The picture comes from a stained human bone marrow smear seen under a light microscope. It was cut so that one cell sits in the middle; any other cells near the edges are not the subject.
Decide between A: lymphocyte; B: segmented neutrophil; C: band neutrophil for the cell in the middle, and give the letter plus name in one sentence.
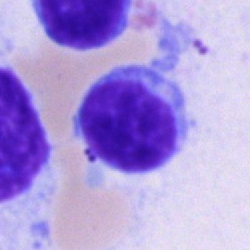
Option A is the right choice, the central cell being a lymphocyte.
